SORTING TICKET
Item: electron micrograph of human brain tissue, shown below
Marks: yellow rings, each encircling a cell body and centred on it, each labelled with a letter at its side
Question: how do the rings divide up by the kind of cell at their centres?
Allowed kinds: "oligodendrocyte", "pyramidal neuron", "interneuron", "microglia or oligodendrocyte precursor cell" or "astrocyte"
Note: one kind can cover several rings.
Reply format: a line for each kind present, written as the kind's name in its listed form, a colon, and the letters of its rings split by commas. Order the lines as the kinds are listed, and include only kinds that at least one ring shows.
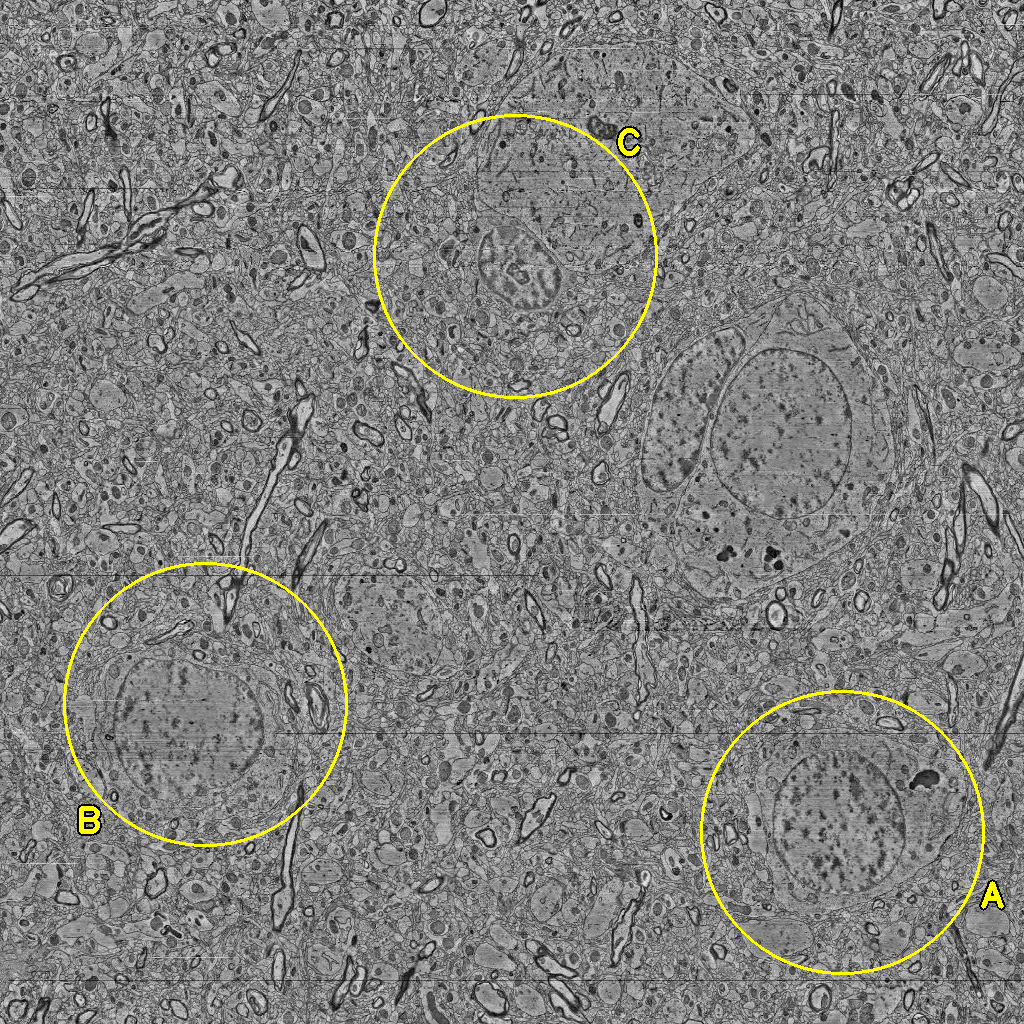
oligodendrocyte: C
interneuron: A, B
